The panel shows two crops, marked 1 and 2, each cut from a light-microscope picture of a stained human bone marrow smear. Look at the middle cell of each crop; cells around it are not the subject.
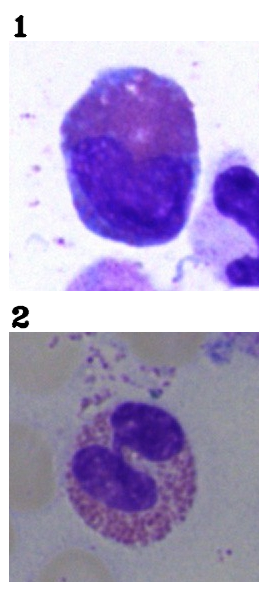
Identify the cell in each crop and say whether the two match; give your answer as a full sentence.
Yes, eosinophils occupy the centre of both crops.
